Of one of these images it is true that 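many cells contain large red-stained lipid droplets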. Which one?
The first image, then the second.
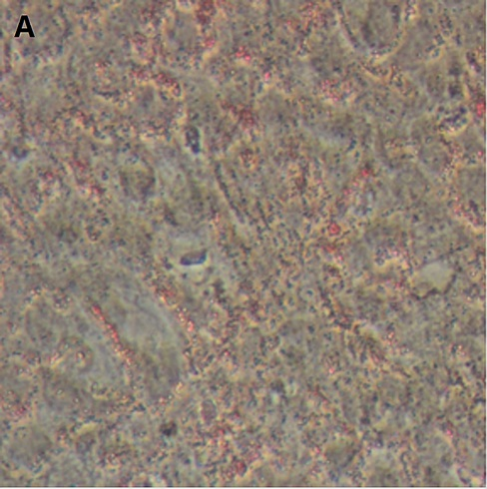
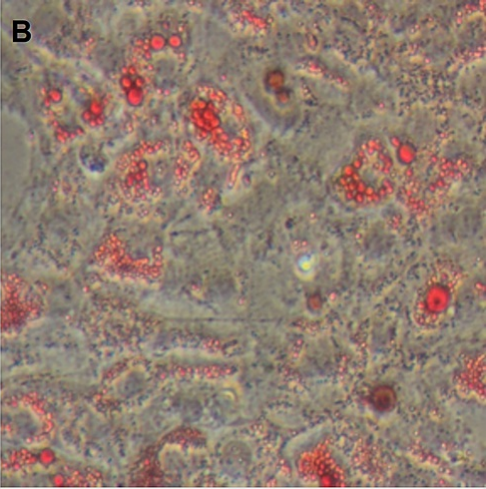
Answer: the second image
